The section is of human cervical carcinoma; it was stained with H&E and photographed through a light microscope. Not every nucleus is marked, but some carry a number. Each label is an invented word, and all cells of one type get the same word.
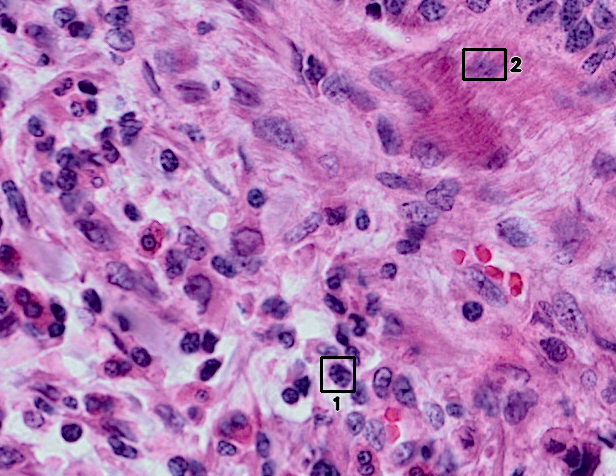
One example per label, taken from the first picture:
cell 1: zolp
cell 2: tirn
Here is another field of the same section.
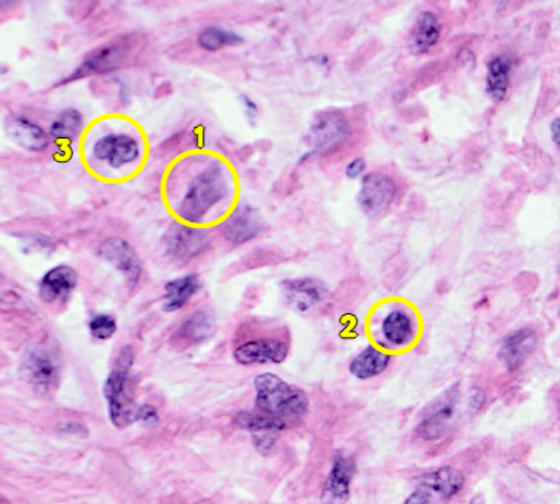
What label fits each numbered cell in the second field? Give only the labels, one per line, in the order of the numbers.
tirn
zolp
zolp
